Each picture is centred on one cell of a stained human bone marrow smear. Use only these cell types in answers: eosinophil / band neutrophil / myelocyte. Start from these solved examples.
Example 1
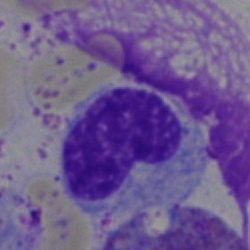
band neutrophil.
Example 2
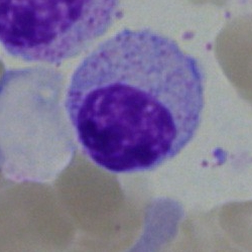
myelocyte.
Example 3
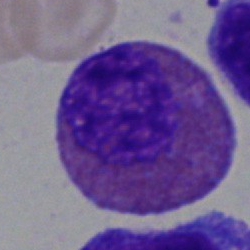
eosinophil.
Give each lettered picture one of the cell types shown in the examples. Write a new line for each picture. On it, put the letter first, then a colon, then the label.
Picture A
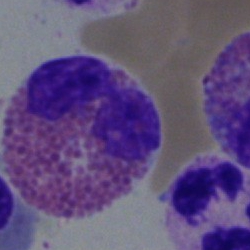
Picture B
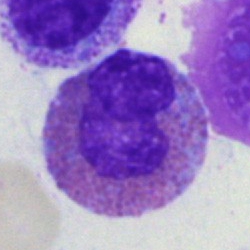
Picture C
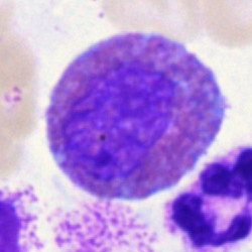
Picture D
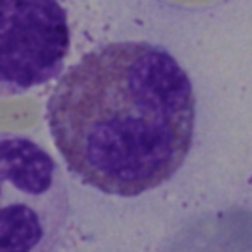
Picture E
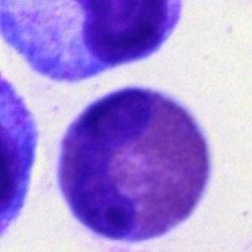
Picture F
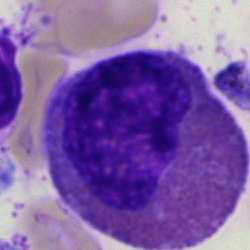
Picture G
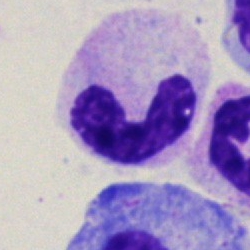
A: eosinophil.
B: eosinophil.
C: eosinophil.
D: eosinophil.
E: eosinophil.
F: eosinophil.
G: band neutrophil.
